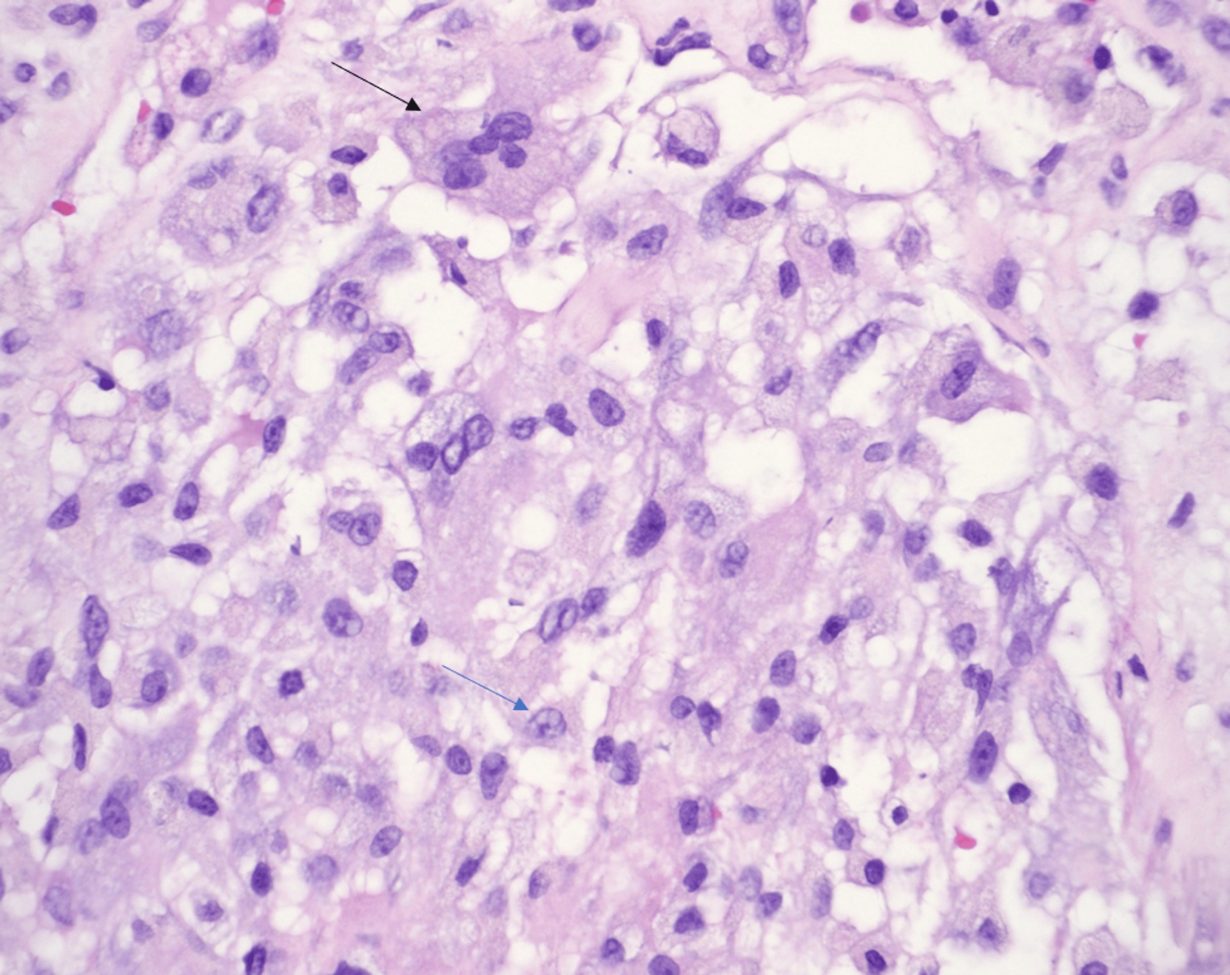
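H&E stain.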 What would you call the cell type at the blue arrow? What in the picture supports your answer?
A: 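Lipid-laden foamy histiocytes. The marked cell has a single round-to-oval nucleus. Its cytoplasm is pale and finely vacuolated, bubbly rather than solid pink. Many similar cells with pale, vacuolated cytoplasm fill the field.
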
